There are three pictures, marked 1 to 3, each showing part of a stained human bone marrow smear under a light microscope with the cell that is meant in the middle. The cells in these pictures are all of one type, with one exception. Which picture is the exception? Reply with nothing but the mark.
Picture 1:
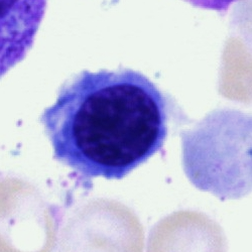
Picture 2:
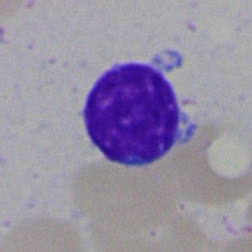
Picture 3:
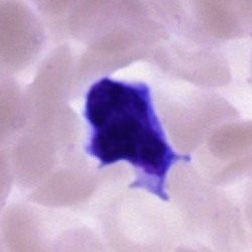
1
